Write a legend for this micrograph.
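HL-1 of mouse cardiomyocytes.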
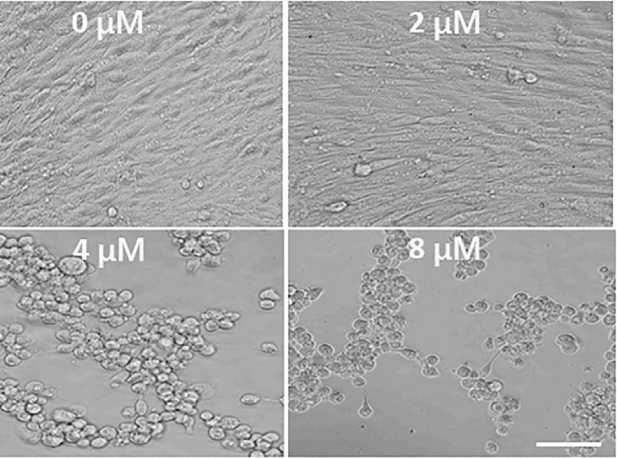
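In the two upper fields the cells form a confluent monolayer of flat, elongated, spindle-shaped cells lying side by side in parallel streams, with only a few small round cells on top. In the two lower fields the monolayer is gone: the cells are rounded, bright-edged and refractile, and gather in chains, clumps and branching strands, with bare substrate between them. In the last field the rounded cells are fewer, more scattered and loosely clustered, some with short tails, and large areas of the surface are empty.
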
